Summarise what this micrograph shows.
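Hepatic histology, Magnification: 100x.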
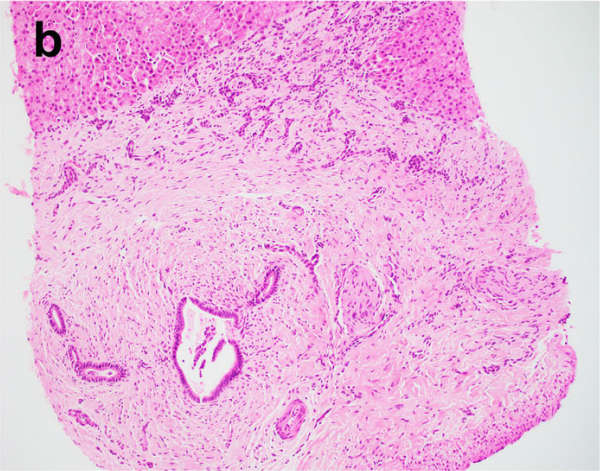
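This is liver in which a portal tract is greatly widened by pale pink fibrous tissue, with the hepatocyte plates pushed to the upper edge. In the middle of the fibrosis lies a bile duct with a wide, irregular lumen, lined by a single row of tall cells with dark nuclei set toward the base. Smaller duct profiles lie around it, and a row of small ducts runs along the border with the hepatocytes. A thin-walled portal vein is hard to make out anywhere in the field. The fibrous stroma holds spindle-shaped cells and only a few scattered inflammatory cells.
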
